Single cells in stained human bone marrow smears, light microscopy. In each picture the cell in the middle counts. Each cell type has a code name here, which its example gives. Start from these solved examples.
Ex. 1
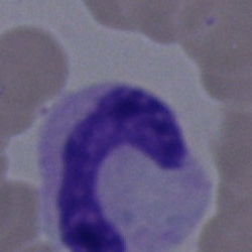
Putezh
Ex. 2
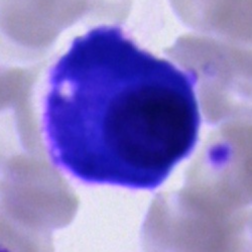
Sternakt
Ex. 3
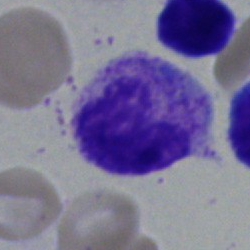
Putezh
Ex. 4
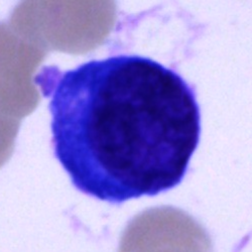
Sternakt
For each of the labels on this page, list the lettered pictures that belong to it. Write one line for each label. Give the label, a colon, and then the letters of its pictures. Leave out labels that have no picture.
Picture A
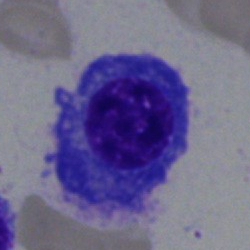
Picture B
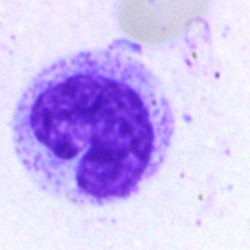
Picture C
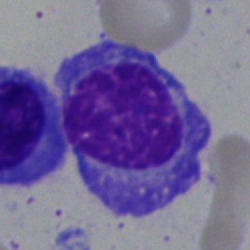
Putezh: B
Sternakt: A, C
